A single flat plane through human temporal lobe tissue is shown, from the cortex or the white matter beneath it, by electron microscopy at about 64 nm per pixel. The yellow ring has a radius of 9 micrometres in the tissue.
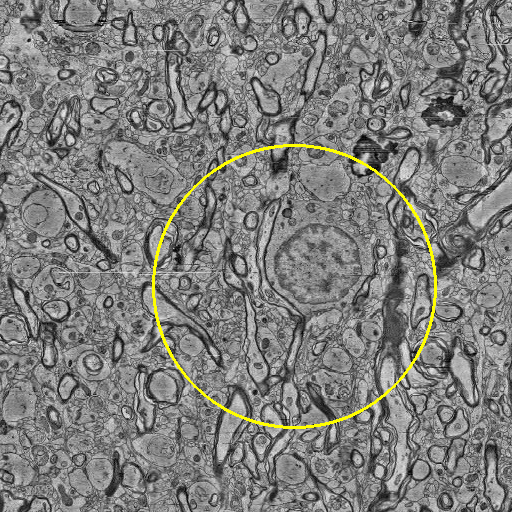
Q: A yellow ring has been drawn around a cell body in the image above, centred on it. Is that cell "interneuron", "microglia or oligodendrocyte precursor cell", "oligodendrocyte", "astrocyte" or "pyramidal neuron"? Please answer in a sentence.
The ring surrounds the cell body of an oligodendrocyte.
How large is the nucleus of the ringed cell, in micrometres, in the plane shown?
About 5 micrometres across in this plane.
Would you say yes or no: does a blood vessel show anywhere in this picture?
No, there is none.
